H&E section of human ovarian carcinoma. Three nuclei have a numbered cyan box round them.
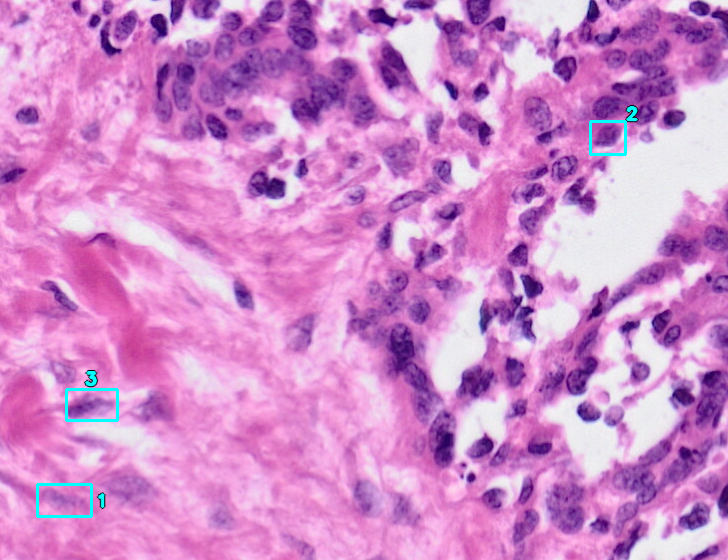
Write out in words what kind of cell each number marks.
Cells 1 and 3 are fibroblasts. Cell 2 is a carcinoma cell.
